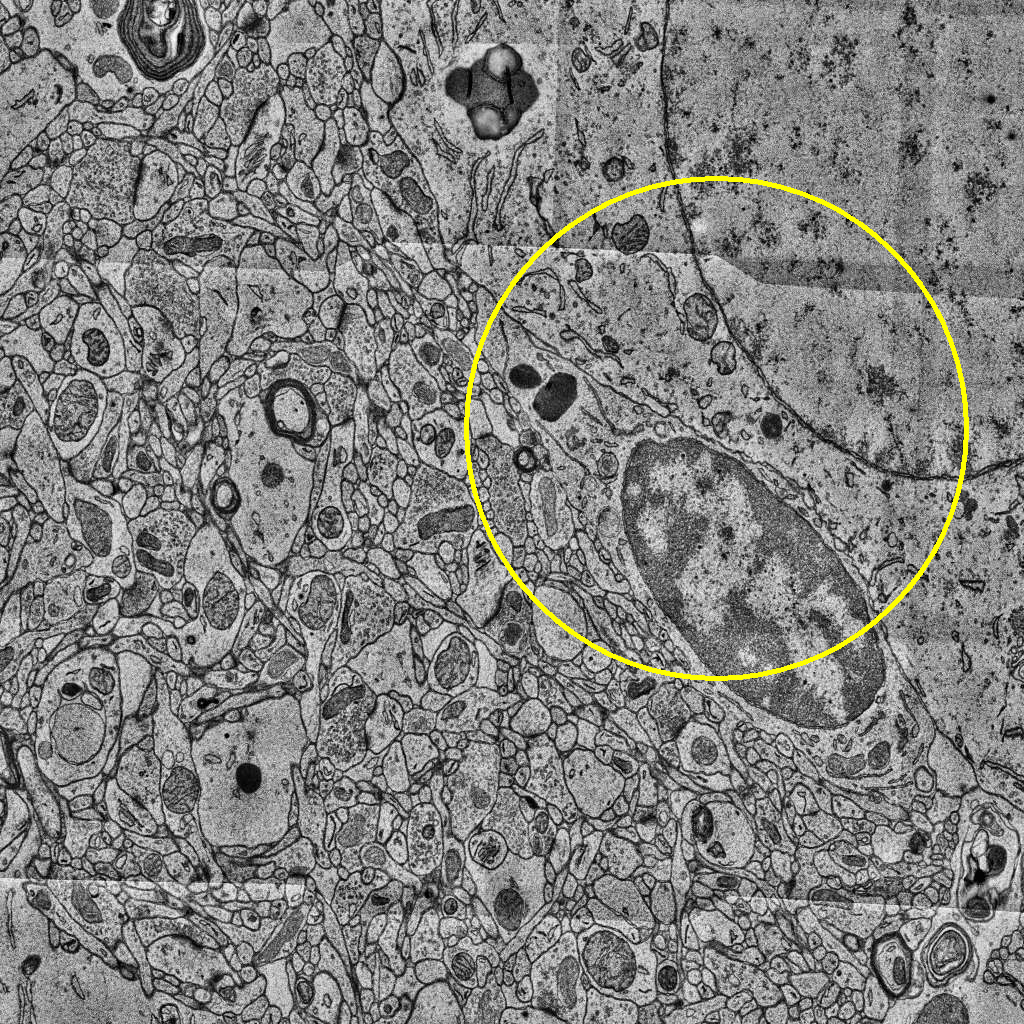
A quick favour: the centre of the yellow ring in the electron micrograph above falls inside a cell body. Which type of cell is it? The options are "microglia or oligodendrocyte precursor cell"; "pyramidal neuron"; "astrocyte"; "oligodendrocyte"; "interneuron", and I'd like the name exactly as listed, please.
microglia or oligodendrocyte precursor cell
